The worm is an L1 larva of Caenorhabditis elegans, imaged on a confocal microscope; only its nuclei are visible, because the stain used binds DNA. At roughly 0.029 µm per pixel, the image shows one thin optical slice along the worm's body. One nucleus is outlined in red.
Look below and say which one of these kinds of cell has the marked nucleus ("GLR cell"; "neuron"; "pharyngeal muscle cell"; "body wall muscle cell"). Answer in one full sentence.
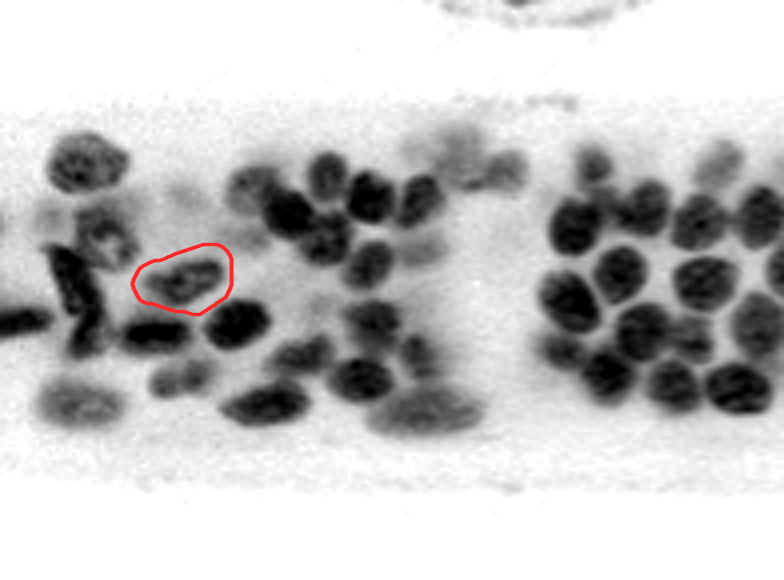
The marked cell is a pharyngeal muscle cell.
